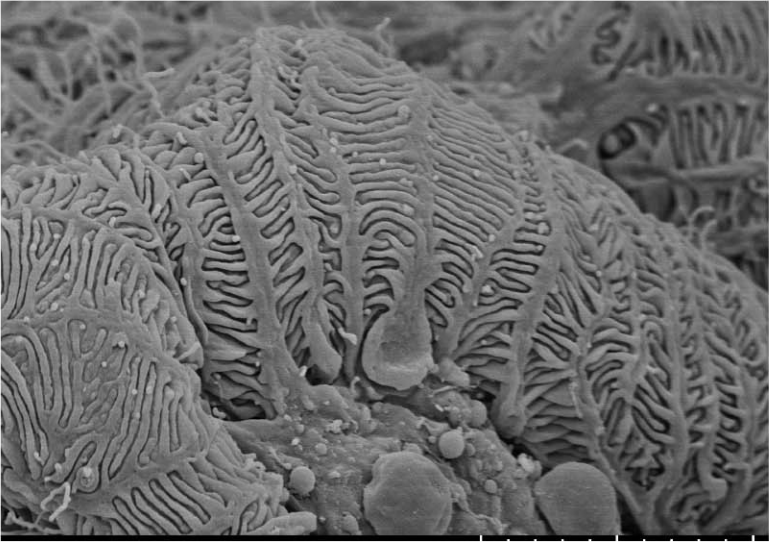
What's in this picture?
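This is the outer surface of a glomerulus, with podocytes covering the rounded capillary loops. Thicker primary processes run across the loops like ribs, and from them arise many fine, closely packed foot processes. The foot processes of neighbouring processes interdigitate, leaving narrow, evenly spaced slits between them. The covering is uniform over each loop, and a few small round blebs sit scattered on the surface.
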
